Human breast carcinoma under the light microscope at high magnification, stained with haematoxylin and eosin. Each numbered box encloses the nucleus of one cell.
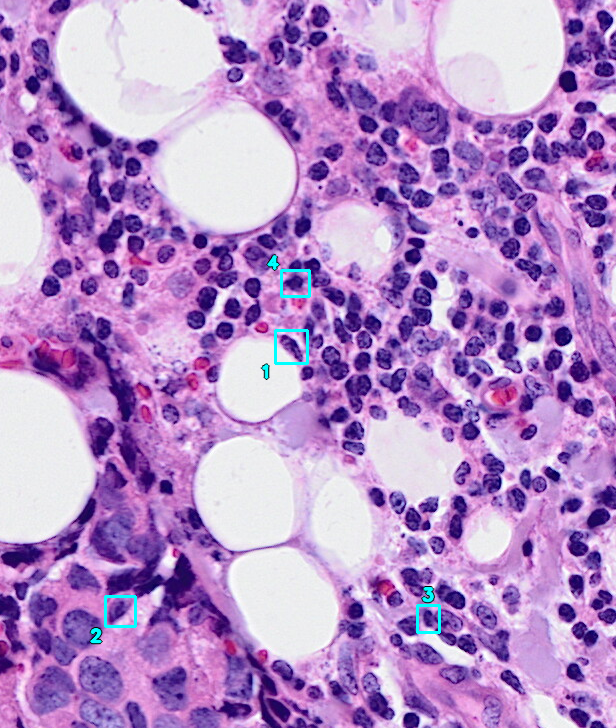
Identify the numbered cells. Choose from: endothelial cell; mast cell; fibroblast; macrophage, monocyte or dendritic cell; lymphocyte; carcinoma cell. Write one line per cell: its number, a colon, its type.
1: lymphocyte
2: carcinoma cell
3: lymphocyte
4: lymphocyte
